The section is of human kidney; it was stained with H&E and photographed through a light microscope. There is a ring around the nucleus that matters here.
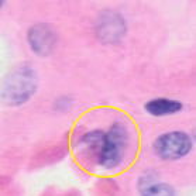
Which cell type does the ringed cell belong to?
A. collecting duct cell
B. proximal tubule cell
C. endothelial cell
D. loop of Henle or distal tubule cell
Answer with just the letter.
C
